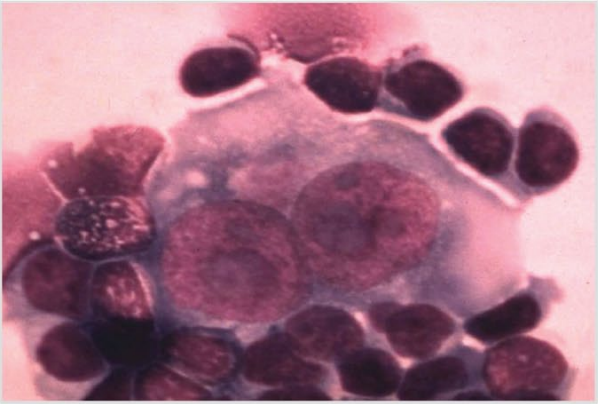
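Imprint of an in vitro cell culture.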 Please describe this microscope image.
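The central cell is far larger than its neighbours and has abundant pale bluish-grey cytoplasm. It holds two large round to oval nuclei lying side by side, each with finely granular purplish chromatin and visible nucleoli, giving a mirror-image appearance. One small cell at the left shows a coarsely speckled nucleus. The background is pink.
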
